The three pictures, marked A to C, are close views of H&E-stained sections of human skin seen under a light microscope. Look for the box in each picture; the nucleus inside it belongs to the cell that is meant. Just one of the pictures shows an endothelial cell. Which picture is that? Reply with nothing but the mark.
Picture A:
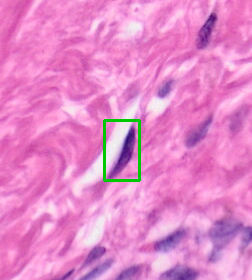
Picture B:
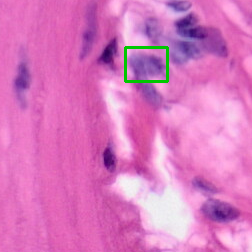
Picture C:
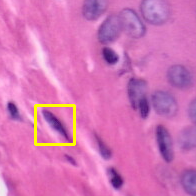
B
